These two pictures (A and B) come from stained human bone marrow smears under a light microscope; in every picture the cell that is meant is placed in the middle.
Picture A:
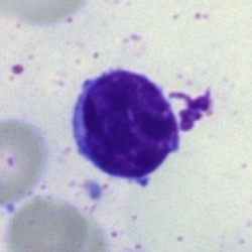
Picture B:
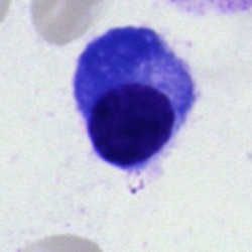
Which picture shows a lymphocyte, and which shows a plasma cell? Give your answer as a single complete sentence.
Picture A shows a lymphocyte and picture B shows a plasma cell.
